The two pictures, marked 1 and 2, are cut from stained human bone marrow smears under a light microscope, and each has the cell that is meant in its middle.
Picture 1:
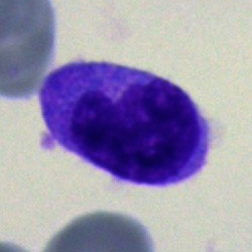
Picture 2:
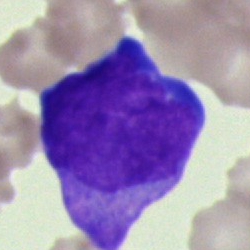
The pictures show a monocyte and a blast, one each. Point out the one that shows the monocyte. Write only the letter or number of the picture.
1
